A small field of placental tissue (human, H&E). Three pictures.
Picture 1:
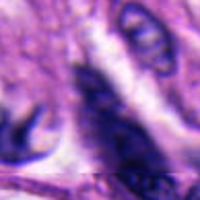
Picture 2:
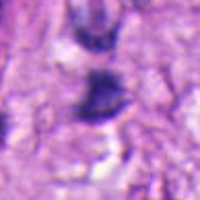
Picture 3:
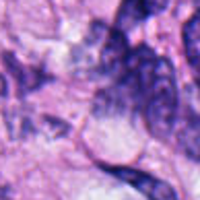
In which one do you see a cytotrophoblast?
In picture 3.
